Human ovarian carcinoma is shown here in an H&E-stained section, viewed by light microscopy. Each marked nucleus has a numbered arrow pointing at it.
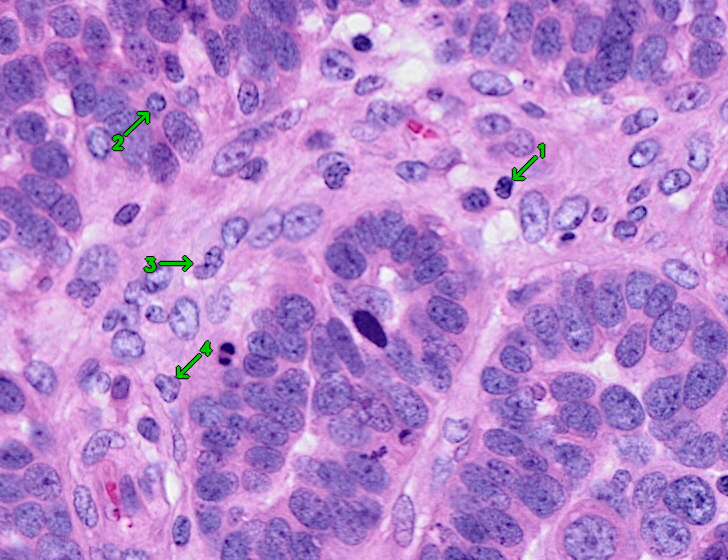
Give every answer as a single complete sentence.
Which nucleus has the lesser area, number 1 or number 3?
It is nucleus 1; nucleus 3 has about 2 times its area.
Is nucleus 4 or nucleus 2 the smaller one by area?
Nucleus 2 covers less area, with nucleus 4 about 1.5 times as large.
